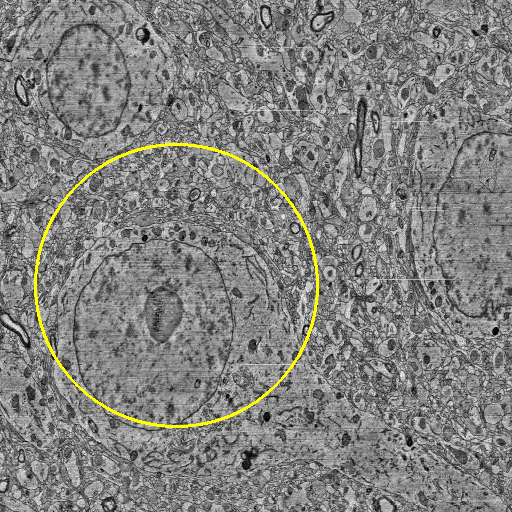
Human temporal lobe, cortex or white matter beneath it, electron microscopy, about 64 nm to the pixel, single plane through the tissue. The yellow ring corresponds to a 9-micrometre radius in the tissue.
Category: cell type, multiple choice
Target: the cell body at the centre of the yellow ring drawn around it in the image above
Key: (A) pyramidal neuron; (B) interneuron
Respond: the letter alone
A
